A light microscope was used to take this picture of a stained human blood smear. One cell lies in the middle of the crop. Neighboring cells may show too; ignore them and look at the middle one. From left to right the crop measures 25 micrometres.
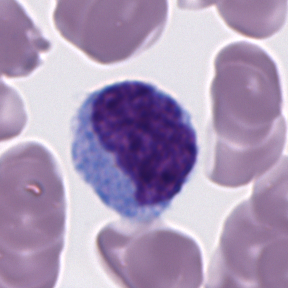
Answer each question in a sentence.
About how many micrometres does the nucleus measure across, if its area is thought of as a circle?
The diameter of the nucleus comes to about 9 micrometres.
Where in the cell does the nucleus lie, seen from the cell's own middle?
The nucleus sits off-centre, toward the upper right.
